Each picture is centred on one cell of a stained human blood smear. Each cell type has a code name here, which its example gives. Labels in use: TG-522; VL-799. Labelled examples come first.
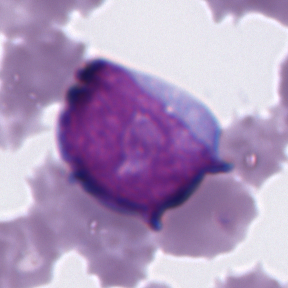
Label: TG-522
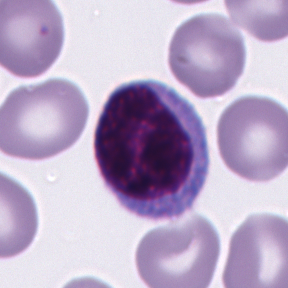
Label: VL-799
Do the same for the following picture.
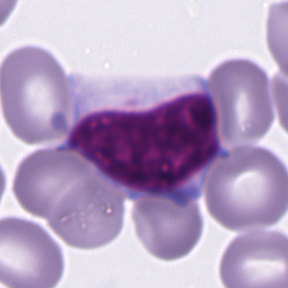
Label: VL-799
